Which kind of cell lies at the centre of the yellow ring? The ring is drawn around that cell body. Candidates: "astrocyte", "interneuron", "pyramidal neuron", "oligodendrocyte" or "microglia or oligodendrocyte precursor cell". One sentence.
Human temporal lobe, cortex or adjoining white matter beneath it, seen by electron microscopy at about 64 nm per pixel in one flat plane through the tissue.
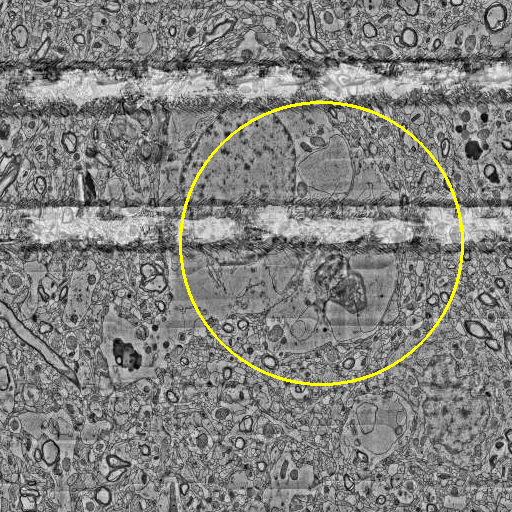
Lying at the centre of the ring is an astrocyte.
